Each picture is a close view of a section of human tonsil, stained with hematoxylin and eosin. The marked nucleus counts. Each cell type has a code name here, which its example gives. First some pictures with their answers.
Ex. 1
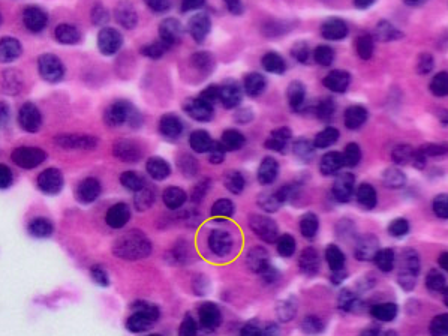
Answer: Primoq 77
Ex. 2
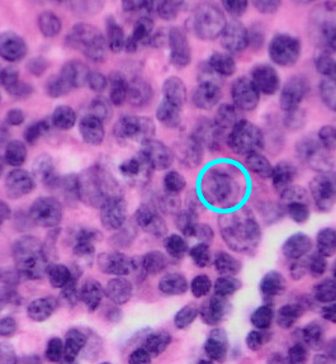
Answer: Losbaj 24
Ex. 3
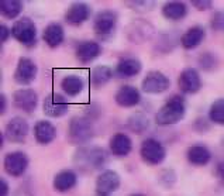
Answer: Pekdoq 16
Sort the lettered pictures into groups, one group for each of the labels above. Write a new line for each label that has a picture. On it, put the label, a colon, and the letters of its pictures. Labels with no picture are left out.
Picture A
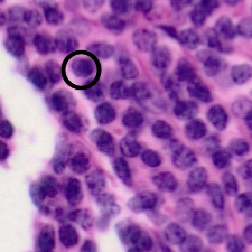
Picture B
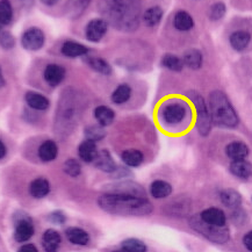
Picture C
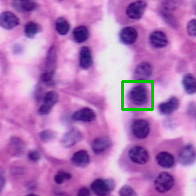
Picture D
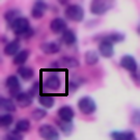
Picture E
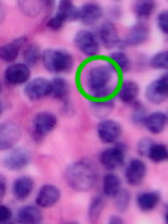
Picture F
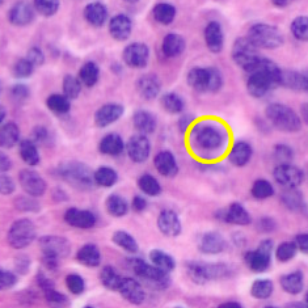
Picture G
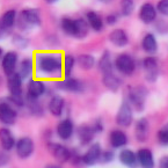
Primoq 77: B, C, F
Pekdoq 16: A, D, E, G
